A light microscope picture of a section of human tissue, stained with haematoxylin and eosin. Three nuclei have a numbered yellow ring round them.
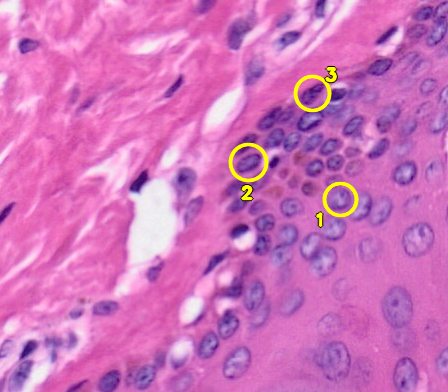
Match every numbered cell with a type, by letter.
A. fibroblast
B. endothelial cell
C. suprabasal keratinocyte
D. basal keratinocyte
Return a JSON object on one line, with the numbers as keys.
{"1": "C", "2": "D", "3": "D"}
